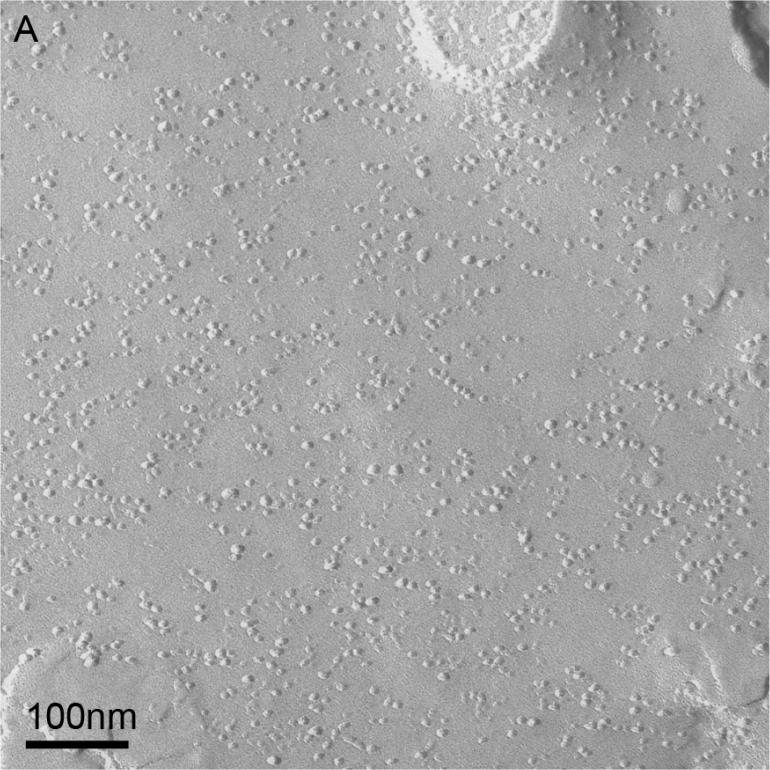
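Freeze-fracture replica of a membrane fracture face, scattered with small rounded intramembrane particles. The particles lie singly or in small loose irregular groups, without any square or grid-like ordered arrays. The background membrane face is smooth and even, with a few raised rounded areas at the edges of the field.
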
